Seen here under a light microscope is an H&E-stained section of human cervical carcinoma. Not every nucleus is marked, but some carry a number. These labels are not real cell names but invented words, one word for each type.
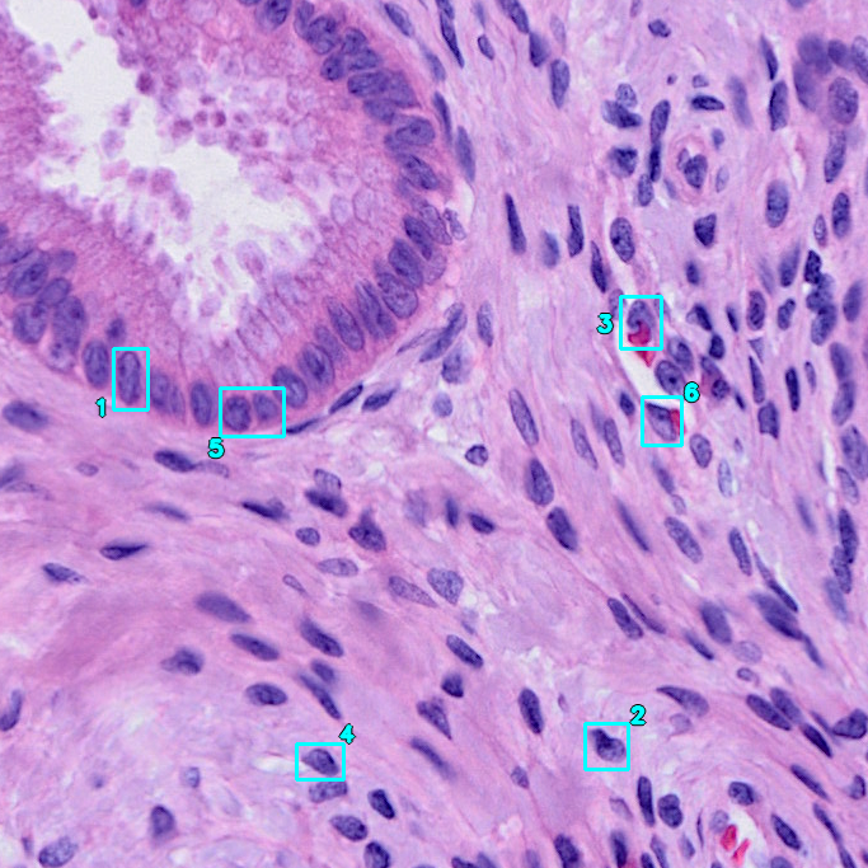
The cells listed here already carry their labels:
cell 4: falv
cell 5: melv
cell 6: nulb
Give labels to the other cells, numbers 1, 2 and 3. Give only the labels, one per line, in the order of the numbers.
melv
falv
nulb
